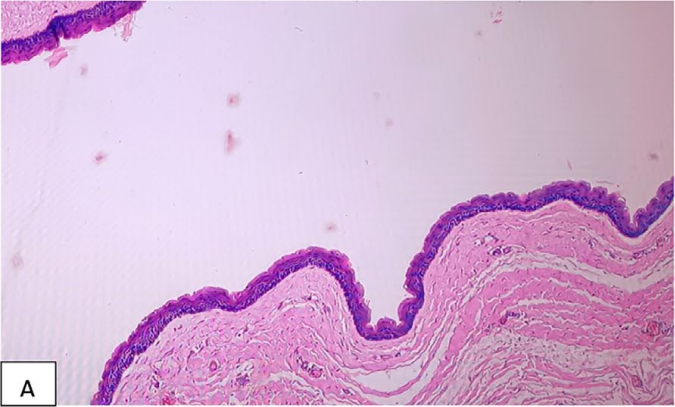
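A cystic lesion is lined by a thin stratified squamous epithelium that stains deep purple and follows an undulating course. The epithelium borders a large empty lumen, with a fragment of the opposite lining visible at the upper left. Beneath the lining lies a wall of pink, wavy, layered collagenous fibrous tissue containing a few small vessels. No glands or hair follicles are present in the wall.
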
